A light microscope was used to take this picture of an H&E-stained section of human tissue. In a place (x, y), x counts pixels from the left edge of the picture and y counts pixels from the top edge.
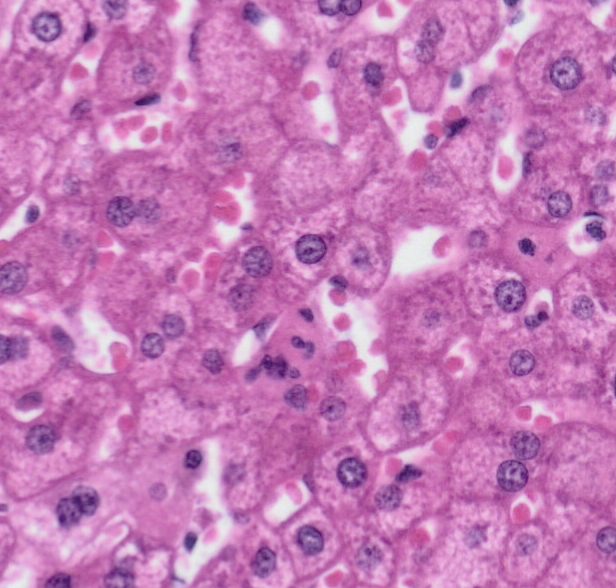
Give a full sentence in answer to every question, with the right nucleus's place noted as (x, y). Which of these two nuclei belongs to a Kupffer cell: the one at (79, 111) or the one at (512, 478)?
The member of the pair belonging to a Kupffer cell is the nucleus at (79, 111).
